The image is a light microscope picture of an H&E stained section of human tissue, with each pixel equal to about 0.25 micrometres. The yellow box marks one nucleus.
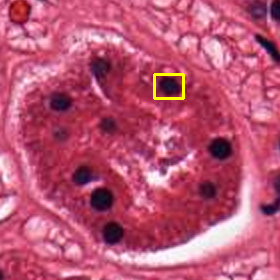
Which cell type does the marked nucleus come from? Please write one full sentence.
The nucleus indicated by the mark belongs to a proximal tubule cell.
